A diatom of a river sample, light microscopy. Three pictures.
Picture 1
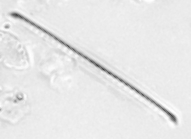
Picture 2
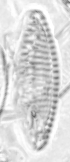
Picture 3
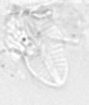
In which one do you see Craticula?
In picture 3.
